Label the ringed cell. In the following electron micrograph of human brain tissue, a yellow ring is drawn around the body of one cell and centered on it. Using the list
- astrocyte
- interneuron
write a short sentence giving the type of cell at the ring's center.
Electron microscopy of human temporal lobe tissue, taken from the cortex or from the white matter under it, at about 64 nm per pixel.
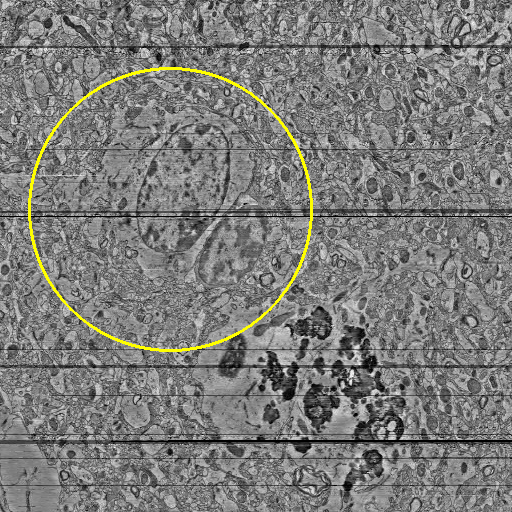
The cell body at the ring's center is that of an astrocyte.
